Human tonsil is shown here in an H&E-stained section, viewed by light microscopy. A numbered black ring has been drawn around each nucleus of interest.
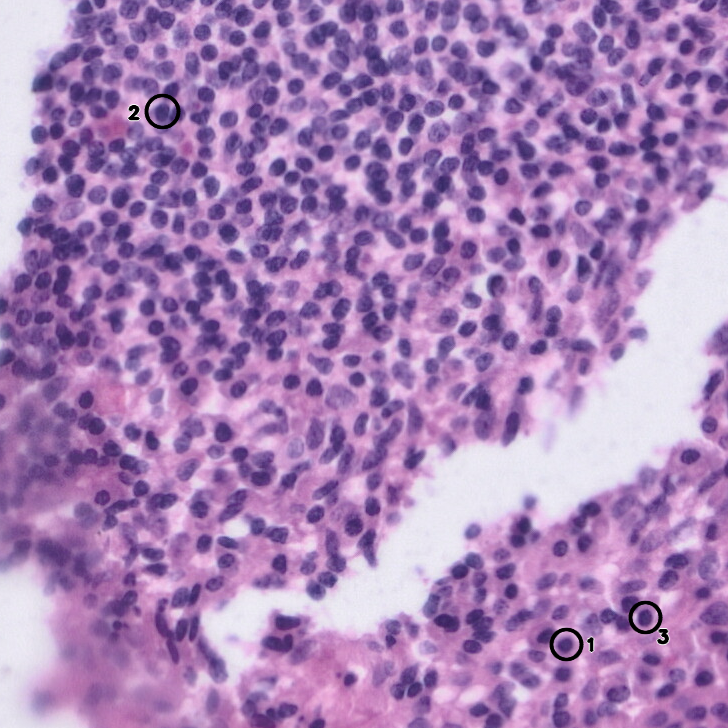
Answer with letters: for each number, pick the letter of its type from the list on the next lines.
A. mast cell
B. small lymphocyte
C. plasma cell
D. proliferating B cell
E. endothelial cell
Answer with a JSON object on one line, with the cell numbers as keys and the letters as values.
{"1": "C", "2": "B", "3": "C"}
